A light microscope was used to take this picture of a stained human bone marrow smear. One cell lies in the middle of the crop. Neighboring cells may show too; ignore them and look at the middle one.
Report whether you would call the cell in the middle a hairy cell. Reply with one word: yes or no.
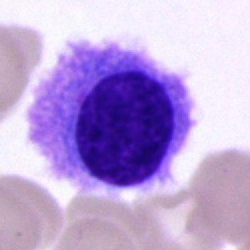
yes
